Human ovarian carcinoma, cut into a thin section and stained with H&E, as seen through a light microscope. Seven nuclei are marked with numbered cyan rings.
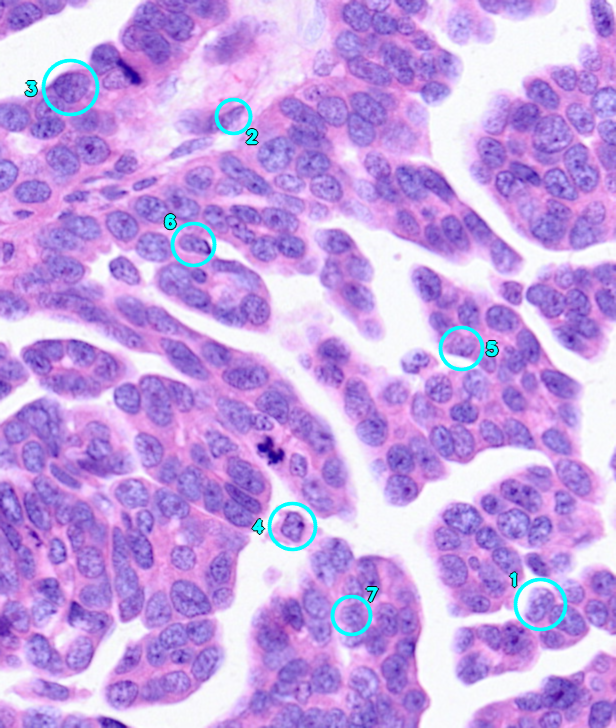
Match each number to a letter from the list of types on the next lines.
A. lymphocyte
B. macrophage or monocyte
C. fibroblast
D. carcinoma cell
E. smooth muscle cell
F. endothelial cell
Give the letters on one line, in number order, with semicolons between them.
D; C; D; B; D; B; D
